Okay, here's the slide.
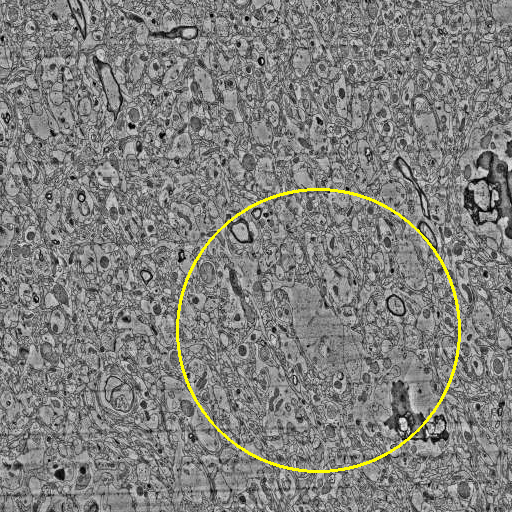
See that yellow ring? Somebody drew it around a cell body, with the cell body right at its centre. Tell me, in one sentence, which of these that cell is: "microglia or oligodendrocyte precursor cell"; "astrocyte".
The cell in the middle of the ring is a microglial cell or oligodendrocyte precursor cell.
